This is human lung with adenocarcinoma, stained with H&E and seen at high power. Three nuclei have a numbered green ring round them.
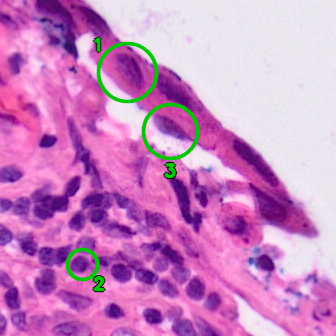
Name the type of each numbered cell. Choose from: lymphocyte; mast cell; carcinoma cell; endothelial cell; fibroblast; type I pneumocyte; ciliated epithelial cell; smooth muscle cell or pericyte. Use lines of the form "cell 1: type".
cell 1: carcinoma cell
cell 2: lymphocyte
cell 3: carcinoma cell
